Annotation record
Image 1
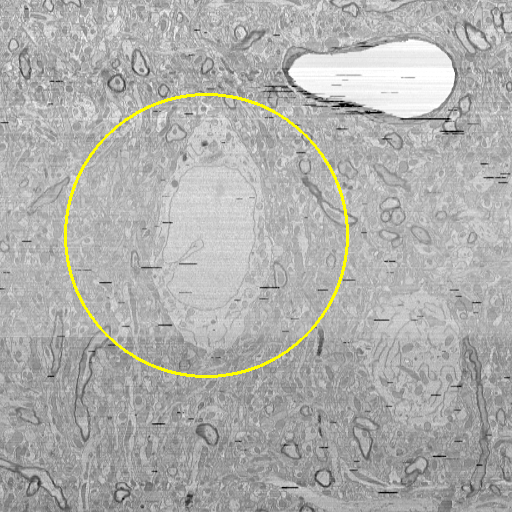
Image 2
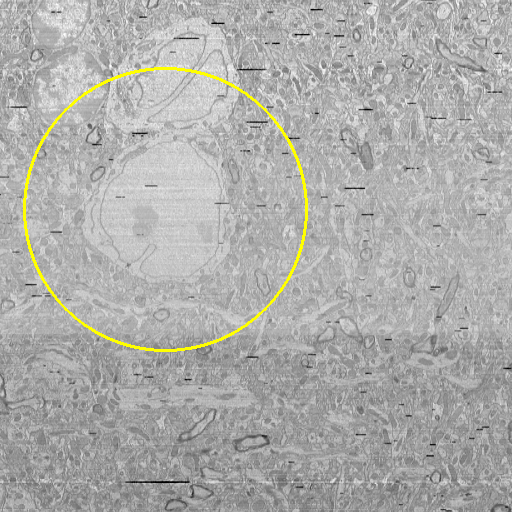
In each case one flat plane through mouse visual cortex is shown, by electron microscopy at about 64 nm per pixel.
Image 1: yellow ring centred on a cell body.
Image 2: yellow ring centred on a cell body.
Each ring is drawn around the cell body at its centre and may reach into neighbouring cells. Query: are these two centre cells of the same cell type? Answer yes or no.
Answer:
yes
